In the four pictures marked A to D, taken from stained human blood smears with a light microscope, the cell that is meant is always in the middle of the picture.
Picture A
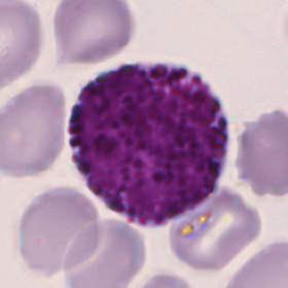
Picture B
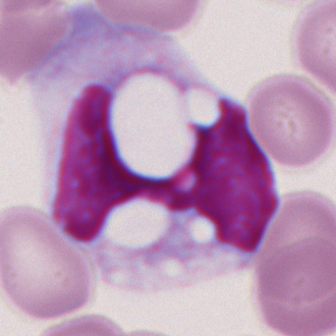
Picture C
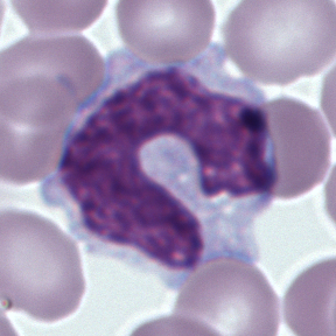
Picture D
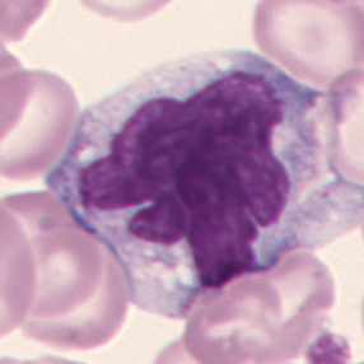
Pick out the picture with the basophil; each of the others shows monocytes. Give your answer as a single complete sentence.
The cell in picture A is the basophil.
